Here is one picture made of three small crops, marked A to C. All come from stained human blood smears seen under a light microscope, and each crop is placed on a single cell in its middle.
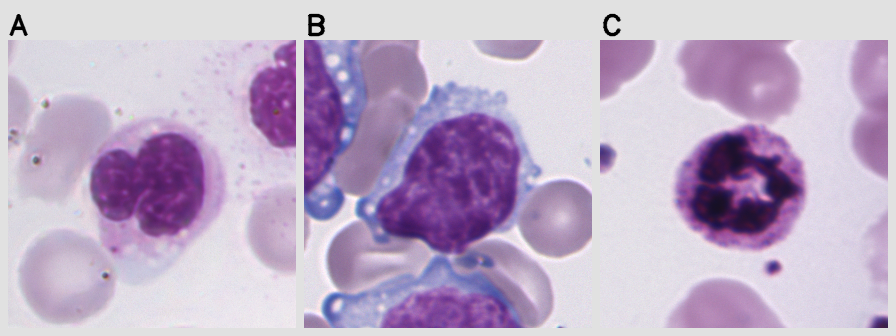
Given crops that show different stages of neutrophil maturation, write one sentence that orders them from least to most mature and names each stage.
By stage of maturation, from earliest to latest, the order is crop B (a myeloblast), crop A (a band neutrophil) and crop C (a segmented neutrophil).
